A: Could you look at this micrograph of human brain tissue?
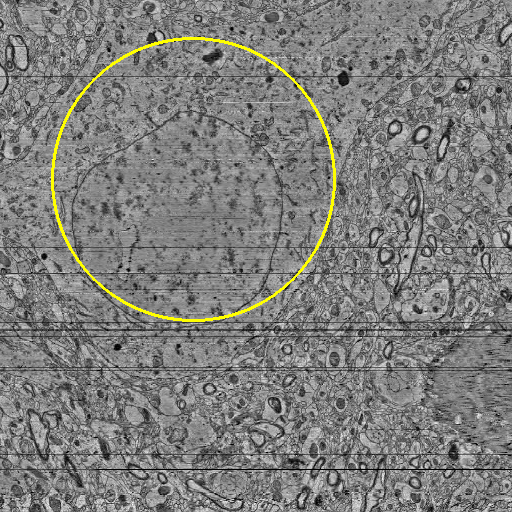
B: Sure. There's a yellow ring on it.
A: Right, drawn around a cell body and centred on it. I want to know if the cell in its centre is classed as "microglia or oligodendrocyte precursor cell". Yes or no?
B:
no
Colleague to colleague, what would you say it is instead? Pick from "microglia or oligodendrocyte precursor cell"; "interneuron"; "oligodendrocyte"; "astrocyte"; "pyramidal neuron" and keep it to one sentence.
Here, the ring is centred on a pyramidal neuron instead.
